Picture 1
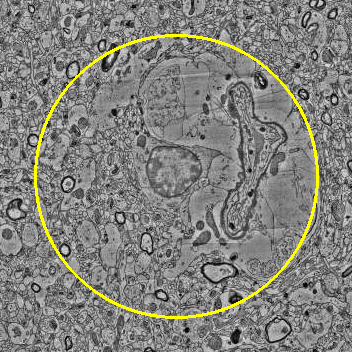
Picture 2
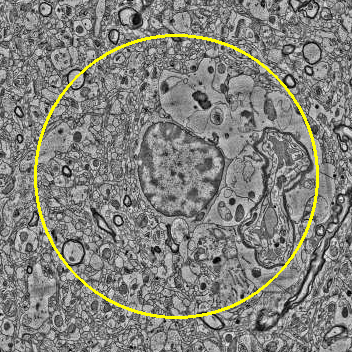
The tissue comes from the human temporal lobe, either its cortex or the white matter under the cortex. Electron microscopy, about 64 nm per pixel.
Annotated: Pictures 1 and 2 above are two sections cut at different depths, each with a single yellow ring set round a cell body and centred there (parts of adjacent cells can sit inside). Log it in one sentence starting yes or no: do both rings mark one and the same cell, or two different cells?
Yes, both yellow rings mark one and the same cell.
